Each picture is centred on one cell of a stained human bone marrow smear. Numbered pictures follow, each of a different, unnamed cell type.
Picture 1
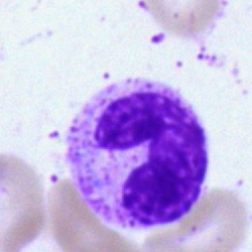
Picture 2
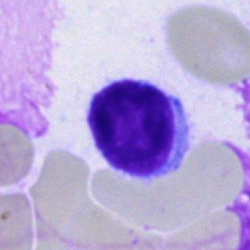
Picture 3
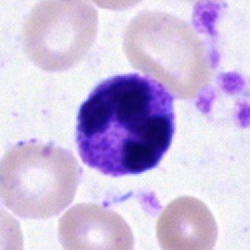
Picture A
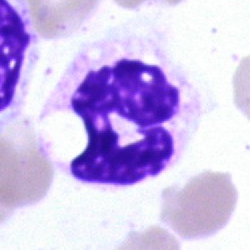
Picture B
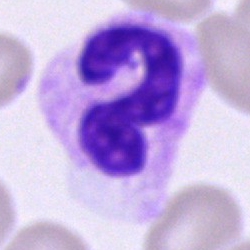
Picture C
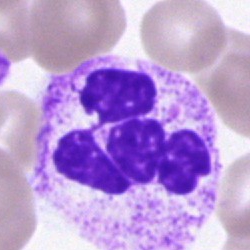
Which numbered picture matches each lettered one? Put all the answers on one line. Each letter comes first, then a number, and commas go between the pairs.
A 3, B 1, C 3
